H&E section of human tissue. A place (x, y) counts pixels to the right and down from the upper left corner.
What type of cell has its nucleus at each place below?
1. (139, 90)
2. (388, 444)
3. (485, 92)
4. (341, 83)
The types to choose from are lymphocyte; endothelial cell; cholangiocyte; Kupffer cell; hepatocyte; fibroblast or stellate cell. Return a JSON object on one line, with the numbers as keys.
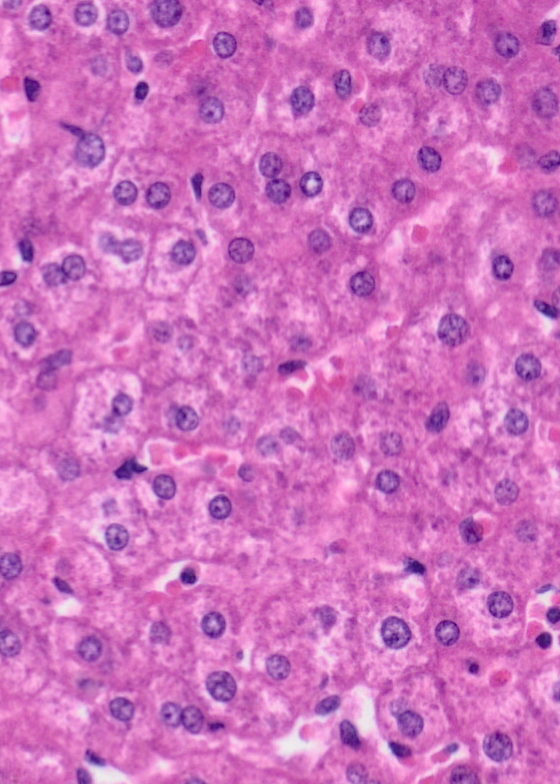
{"1": "lymphocyte", "2": "hepatocyte", "3": "hepatocyte", "4": "Kupffer cell"}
